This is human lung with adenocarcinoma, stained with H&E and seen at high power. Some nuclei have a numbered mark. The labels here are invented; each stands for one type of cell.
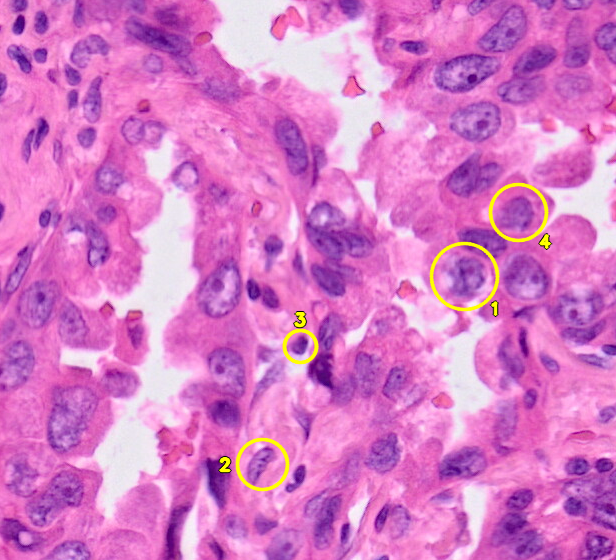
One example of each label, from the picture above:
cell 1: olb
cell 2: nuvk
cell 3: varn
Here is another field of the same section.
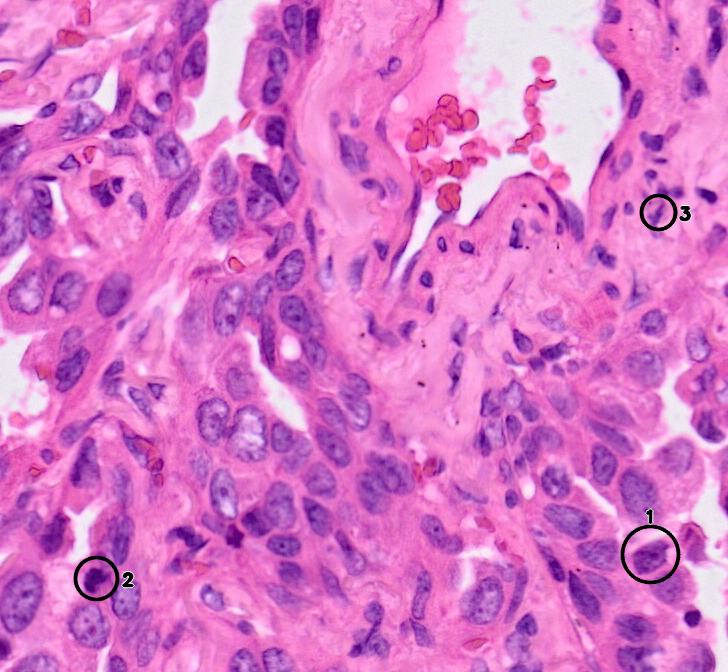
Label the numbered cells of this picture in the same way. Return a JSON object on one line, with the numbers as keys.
{"1": "olb", "2": "olb", "3": "nuvk"}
